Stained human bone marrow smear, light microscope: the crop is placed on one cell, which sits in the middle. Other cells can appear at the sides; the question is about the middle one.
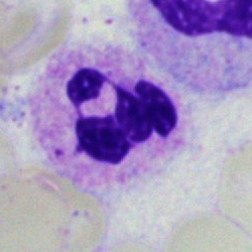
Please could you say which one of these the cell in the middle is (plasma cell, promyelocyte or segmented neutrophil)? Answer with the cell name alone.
segmented neutrophil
